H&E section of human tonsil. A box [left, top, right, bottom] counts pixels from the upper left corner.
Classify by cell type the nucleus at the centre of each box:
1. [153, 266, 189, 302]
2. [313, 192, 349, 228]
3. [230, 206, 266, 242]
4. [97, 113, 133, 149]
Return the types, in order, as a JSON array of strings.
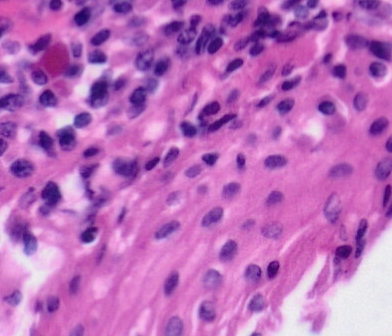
["squamous epithelial cell", "squamous epithelial cell", "squamous epithelial cell", "endothelial cell"]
